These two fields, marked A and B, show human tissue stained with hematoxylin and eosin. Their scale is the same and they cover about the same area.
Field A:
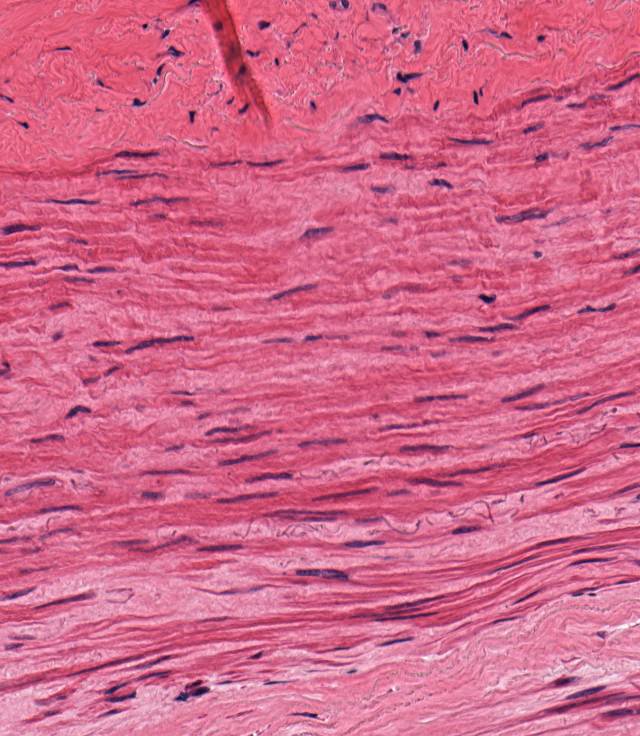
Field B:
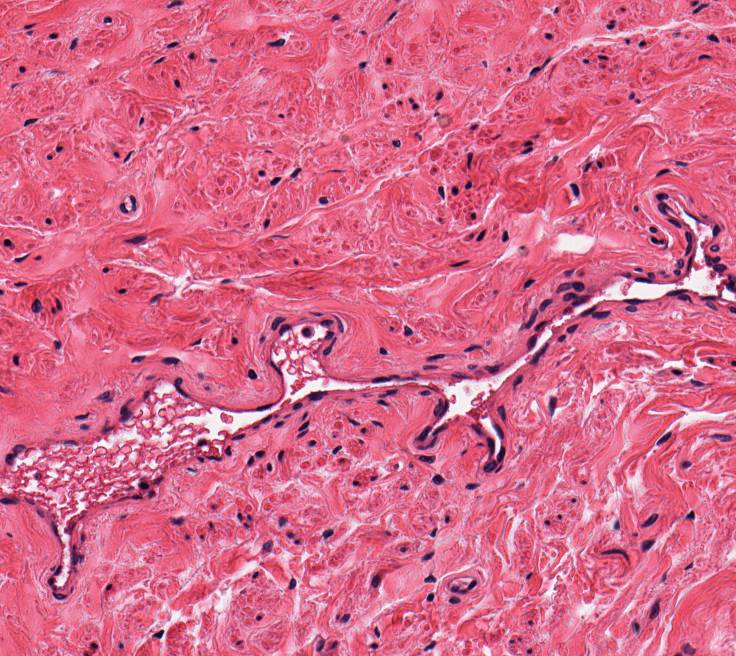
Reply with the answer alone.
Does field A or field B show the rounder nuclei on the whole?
B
